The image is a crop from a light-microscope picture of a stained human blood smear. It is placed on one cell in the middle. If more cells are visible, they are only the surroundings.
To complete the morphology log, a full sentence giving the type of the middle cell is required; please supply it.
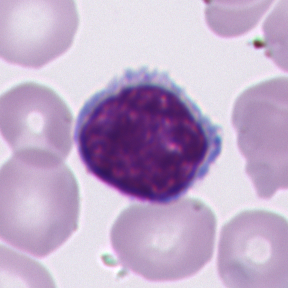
Located at the centre of the crop is a typical lymphocyte.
